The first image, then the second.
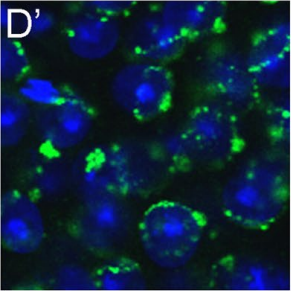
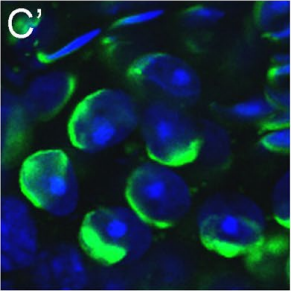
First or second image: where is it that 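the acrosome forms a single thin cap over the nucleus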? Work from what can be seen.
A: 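The second image. First image: green appears as scattered dots and small clumps around round nuclei. Second image: green forms one continuous crescent over each round nucleus.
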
